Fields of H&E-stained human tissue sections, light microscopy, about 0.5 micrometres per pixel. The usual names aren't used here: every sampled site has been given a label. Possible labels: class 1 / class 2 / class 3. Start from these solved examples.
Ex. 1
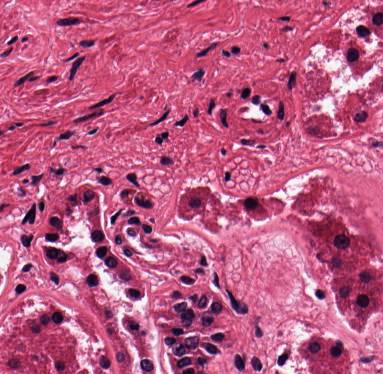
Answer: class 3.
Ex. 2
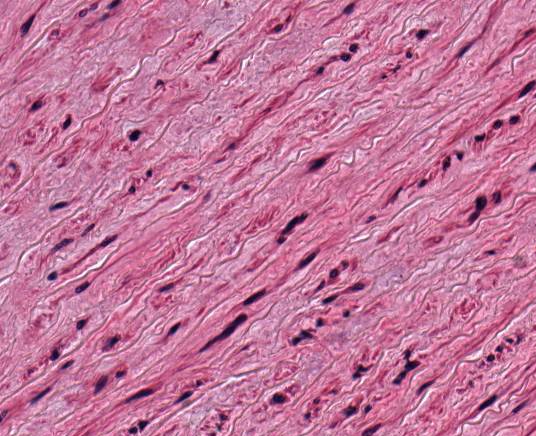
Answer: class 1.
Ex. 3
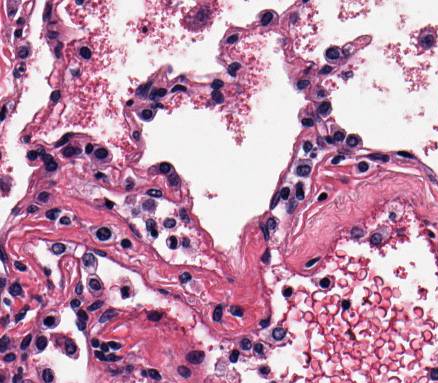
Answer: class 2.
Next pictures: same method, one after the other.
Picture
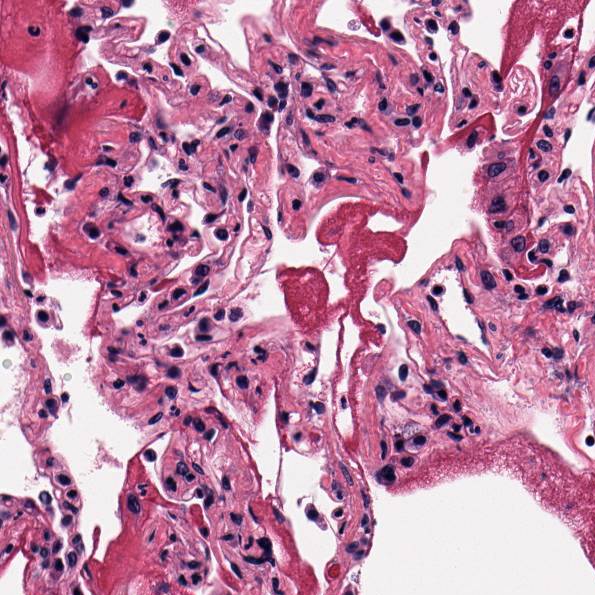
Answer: class 2.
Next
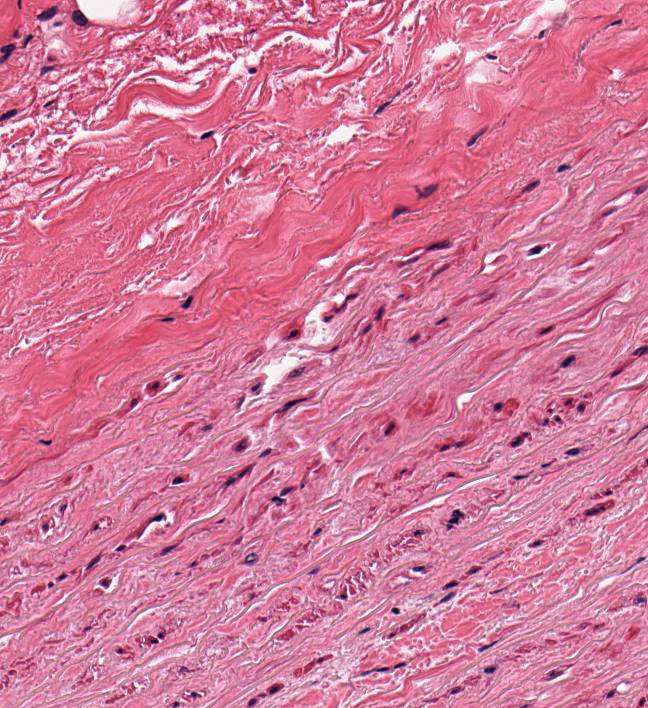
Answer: class 1.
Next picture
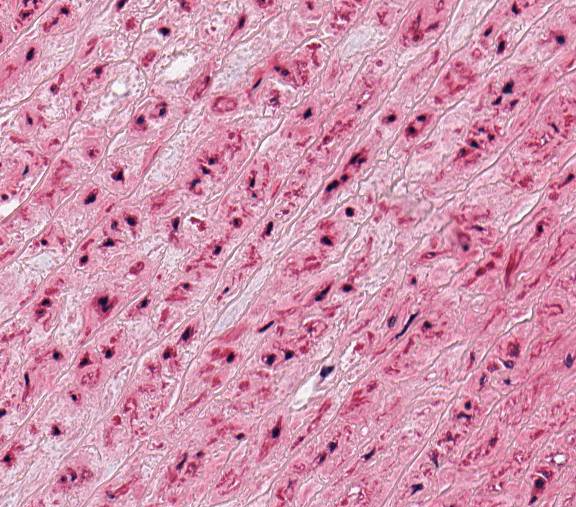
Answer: class 1.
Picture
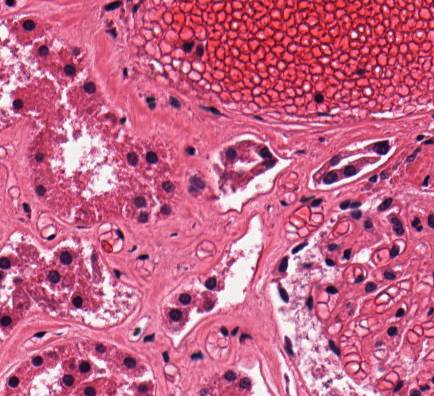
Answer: class 3.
